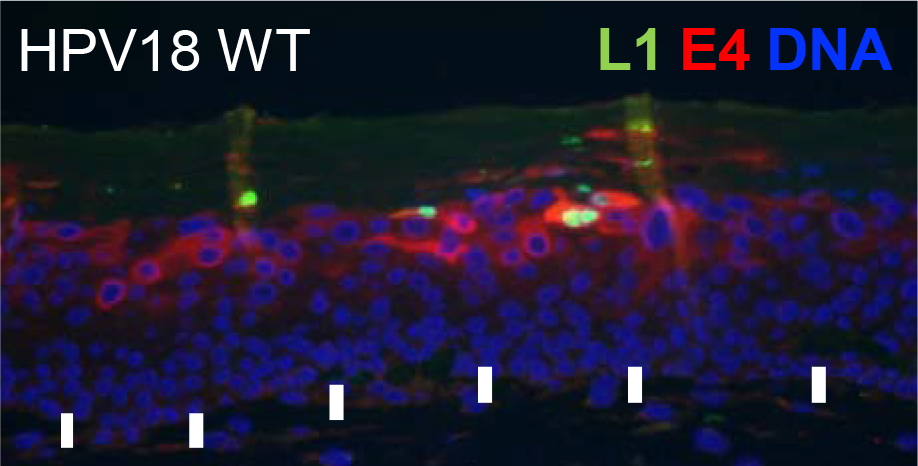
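This is a stratified epithelium seen in cross-section, many cell layers thick, with blue nuclei throughout. The lowest row of cells rests on a looser underlying tissue with scattered nuclei. In the upper layers many cells have red-stained cytoplasm, often as rings around their nuclei, while the lower layers are largely unstained apart from blue nuclei. A few cells just below the surface show bright green nuclei. On top lies a flattened, nucleus-free, faintly greenish surface layer.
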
